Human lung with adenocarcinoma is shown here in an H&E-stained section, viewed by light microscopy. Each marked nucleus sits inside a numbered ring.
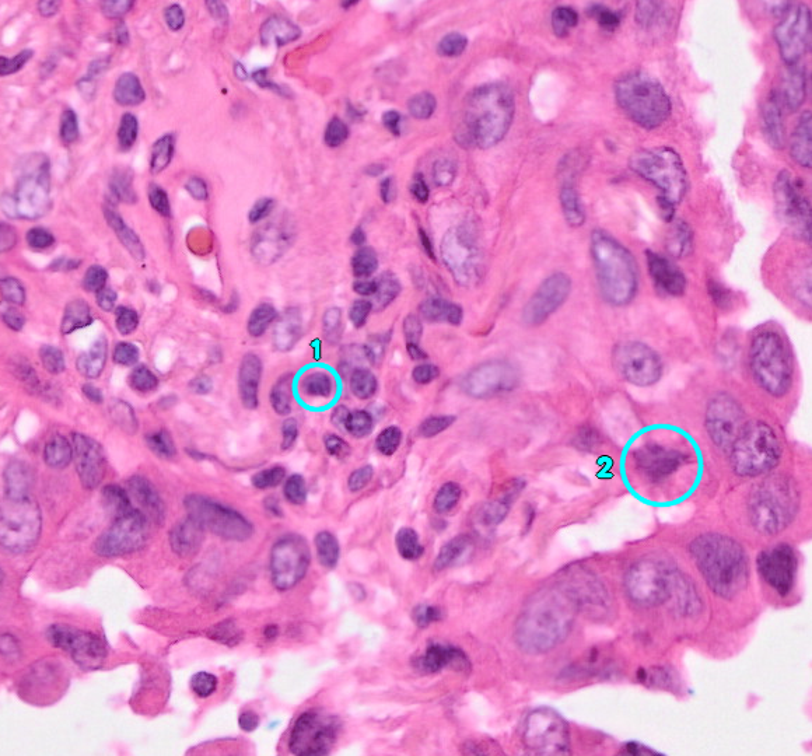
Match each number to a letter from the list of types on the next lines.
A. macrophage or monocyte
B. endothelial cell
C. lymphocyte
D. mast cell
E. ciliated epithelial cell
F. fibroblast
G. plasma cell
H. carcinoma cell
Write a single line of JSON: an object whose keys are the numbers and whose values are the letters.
{"1": "C", "2": "H"}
